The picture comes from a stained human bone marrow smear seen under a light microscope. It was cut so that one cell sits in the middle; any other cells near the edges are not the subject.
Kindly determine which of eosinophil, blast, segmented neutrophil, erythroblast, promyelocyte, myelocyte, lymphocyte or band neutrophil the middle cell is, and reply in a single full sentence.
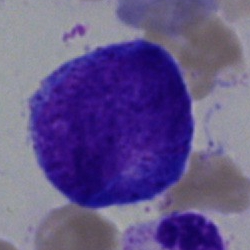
For this crop, the cell in the middle is a promyelocyte.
